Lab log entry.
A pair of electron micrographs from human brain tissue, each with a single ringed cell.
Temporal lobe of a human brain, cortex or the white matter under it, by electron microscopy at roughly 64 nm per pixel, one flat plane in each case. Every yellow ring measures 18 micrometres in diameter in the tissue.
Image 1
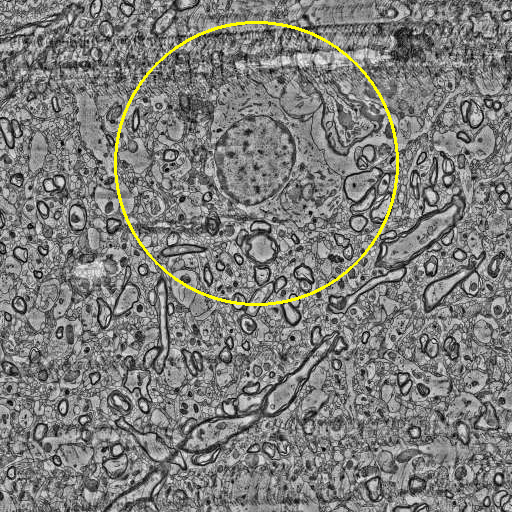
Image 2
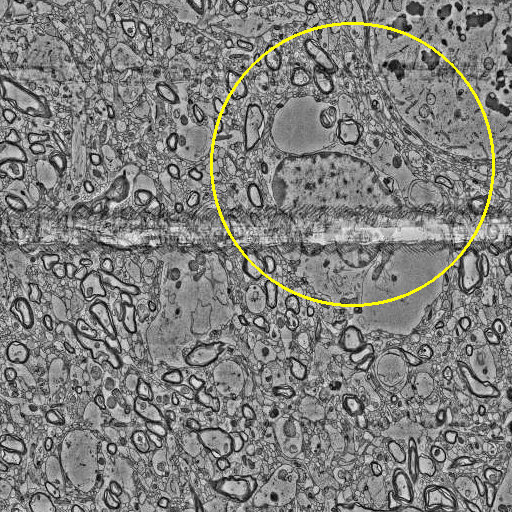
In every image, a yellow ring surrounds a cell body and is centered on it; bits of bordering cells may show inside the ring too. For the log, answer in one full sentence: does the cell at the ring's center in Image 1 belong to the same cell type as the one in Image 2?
Yes, the cells at the ring centers in Image 1 and Image 2 share one type.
